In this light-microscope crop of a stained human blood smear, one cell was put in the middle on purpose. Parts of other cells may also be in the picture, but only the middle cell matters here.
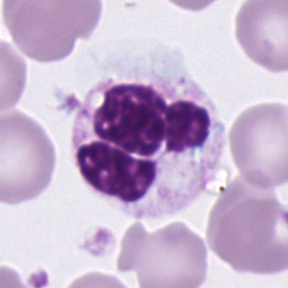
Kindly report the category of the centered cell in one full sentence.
The centrally placed cell is classified as a segmented neutrophil.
